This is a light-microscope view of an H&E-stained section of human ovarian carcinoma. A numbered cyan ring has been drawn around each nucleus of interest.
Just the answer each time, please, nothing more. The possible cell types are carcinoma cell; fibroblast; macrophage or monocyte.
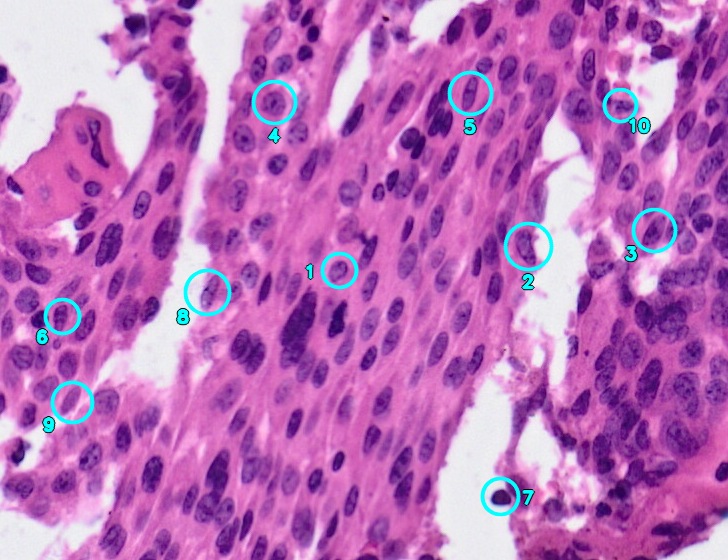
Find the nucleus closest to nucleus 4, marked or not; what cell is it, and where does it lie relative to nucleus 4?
a macrophage or monocyte to the right of nucleus 4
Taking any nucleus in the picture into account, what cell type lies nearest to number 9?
carcinoma cell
